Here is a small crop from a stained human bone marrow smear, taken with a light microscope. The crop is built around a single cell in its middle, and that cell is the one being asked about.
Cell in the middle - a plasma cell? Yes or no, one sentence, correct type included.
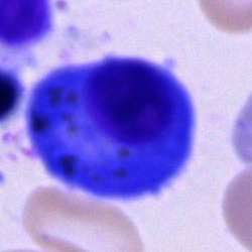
Yes, the cell sitting in the center is a plasma cell.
